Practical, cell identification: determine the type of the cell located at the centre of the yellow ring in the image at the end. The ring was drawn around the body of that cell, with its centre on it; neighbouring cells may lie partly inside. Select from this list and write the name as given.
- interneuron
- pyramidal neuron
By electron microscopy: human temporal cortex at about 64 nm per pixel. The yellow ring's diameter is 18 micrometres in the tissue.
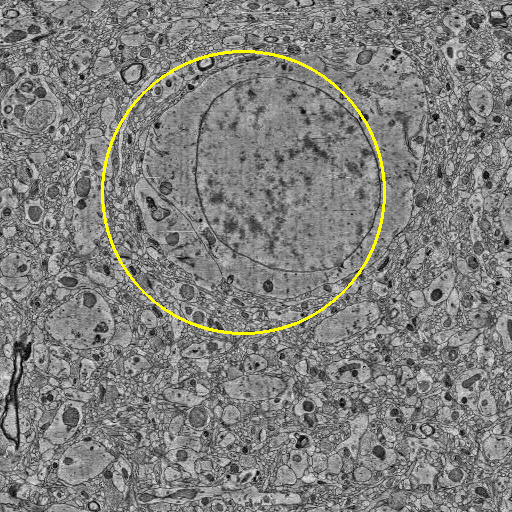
pyramidal neuron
